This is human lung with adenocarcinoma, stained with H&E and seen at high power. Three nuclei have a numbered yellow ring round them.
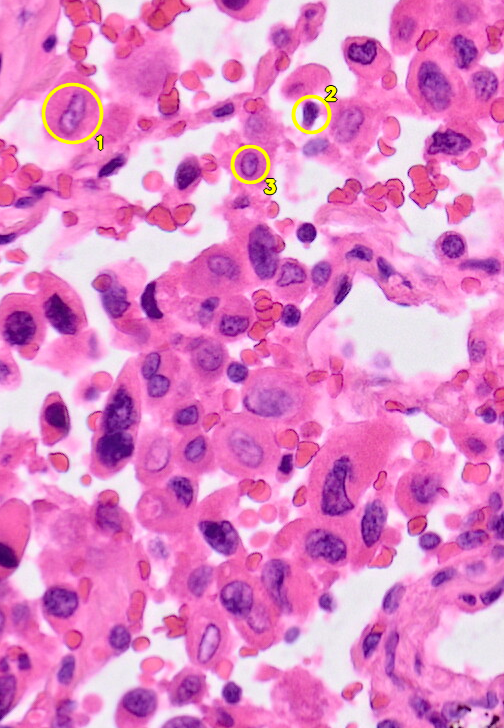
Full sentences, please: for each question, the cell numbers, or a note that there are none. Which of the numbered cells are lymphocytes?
Just the cell marked 2 is a lymphocyte; none of the other marked cells is.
